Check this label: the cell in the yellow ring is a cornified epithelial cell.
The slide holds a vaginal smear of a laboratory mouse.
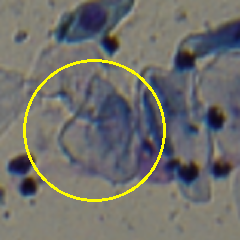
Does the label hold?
The label holds; the cell is a cornified epithelial cell.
